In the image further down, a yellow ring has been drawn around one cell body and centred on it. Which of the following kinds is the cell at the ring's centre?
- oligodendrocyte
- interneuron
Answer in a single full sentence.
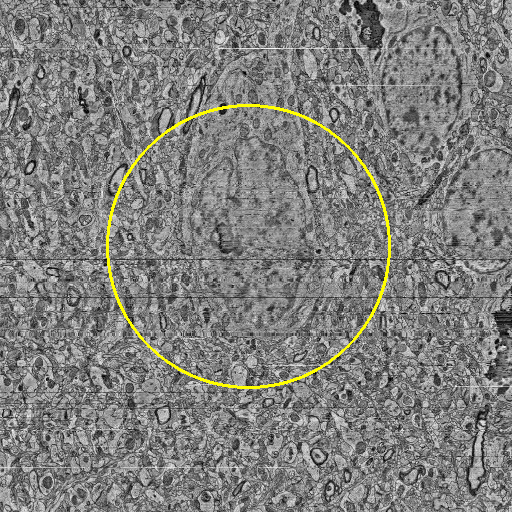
In the picture, the cell sitting at the centre of the yellow ring is an interneuron.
